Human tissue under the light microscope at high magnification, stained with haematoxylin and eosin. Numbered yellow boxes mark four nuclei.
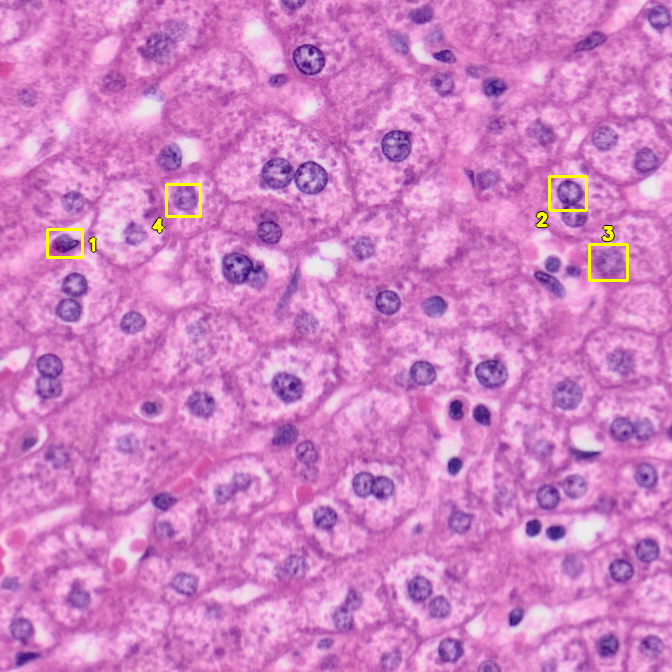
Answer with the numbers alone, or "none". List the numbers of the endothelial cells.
1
